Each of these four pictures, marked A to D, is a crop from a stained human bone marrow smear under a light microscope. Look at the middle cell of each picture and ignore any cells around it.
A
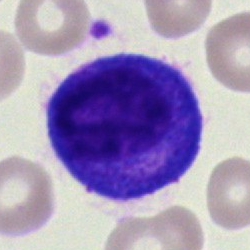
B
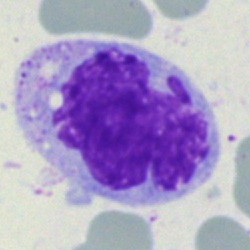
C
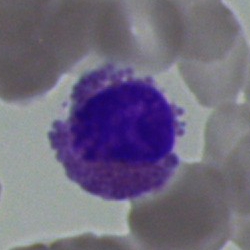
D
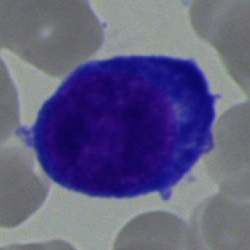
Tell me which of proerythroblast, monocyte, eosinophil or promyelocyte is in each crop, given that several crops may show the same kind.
A: promyelocyte
B: monocyte
C: eosinophil
D: proerythroblast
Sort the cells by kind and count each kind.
promyelocyte: 1
monocyte: 1
eosinophil: 1
proerythroblast: 1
